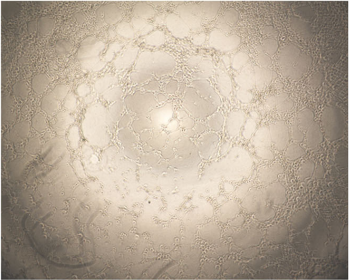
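Endothelial cells on a gel matrix, unstained, seen in bright field, organised into a tube-like network. The cords enclose many closed polygonal loops of varying size, the network being most complete in a broad ring around the centre of the well, with a brighter, more open central area. Individual cells show as small refractile bodies along the cords; the spaces inside the loops are empty matrix. Toward the edges of the field the network becomes fainter and less distinct.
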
